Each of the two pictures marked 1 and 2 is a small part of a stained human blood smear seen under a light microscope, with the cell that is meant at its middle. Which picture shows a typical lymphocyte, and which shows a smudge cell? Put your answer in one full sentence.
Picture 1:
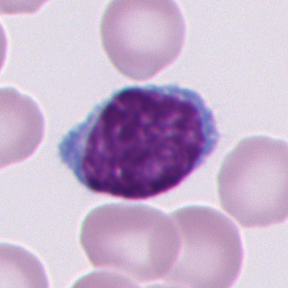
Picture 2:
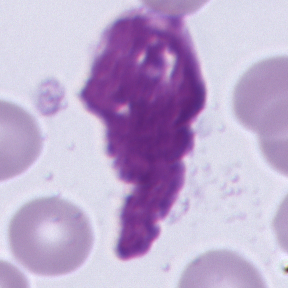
The cell in picture 1 is a typical lymphocyte, and the one in picture 2 is a smudge cell.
